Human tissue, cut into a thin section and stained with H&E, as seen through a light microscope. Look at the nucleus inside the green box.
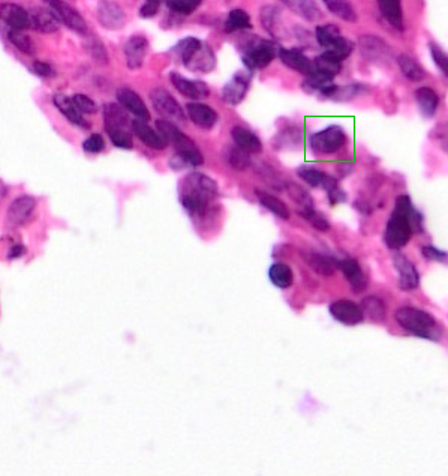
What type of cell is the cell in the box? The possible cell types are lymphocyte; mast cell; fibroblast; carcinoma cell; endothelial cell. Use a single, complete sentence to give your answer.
With respect to cell type, the cell in the box is a carcinoma cell.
